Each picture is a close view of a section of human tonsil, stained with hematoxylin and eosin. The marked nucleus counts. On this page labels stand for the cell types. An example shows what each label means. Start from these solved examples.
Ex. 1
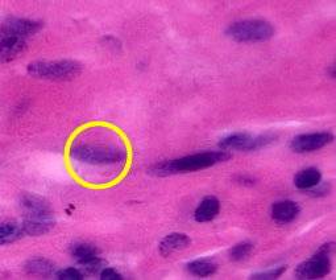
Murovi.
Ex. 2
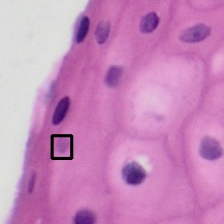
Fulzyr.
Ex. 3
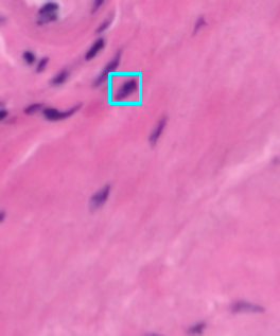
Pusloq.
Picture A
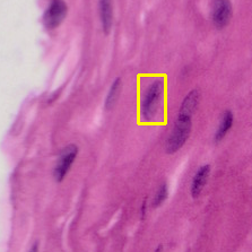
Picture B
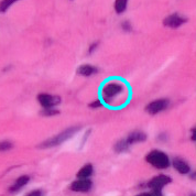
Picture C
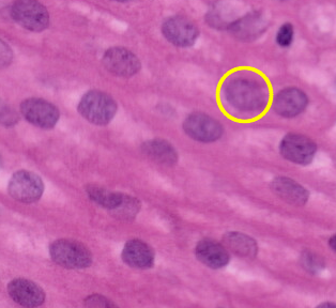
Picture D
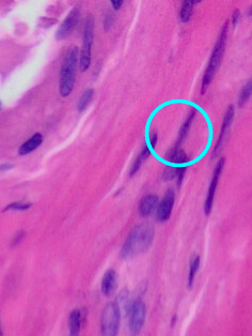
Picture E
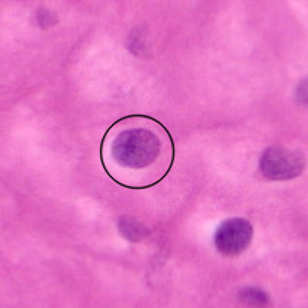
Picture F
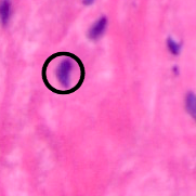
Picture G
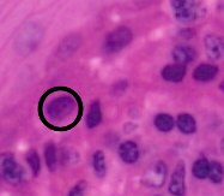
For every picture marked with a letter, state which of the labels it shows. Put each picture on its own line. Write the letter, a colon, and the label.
A: Fulzyr.
B: Pusloq.
C: Fulzyr.
D: Murovi.
E: Fulzyr.
F: Pusloq.
G: Fulzyr.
